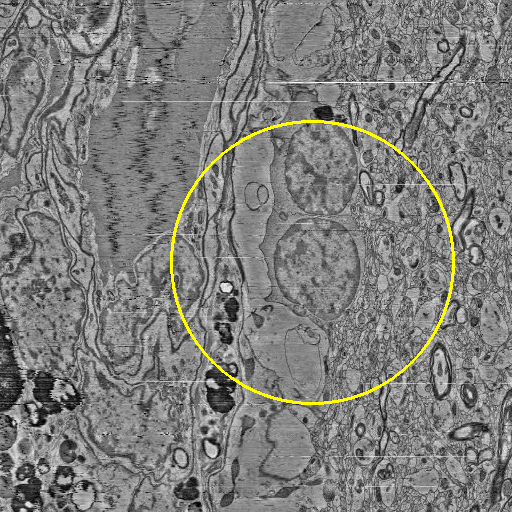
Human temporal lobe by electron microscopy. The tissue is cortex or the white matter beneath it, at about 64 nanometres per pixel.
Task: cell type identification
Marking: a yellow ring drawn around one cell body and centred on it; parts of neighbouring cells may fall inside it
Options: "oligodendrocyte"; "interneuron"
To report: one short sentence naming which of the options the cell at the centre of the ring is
The cell at the centre of the ring is an oligodendrocyte.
